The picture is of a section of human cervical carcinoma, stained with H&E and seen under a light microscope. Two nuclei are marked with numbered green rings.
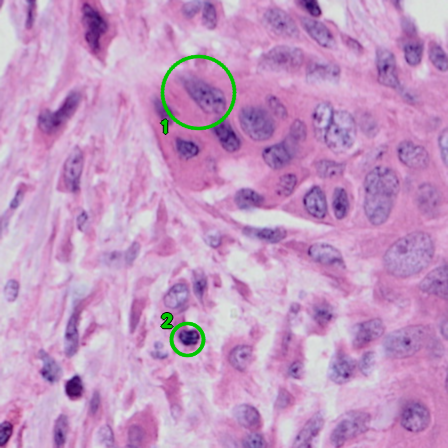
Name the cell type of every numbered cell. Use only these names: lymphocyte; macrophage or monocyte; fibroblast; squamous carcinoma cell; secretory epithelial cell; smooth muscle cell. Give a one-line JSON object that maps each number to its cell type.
{"1": "squamous carcinoma cell", "2": "lymphocyte"}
